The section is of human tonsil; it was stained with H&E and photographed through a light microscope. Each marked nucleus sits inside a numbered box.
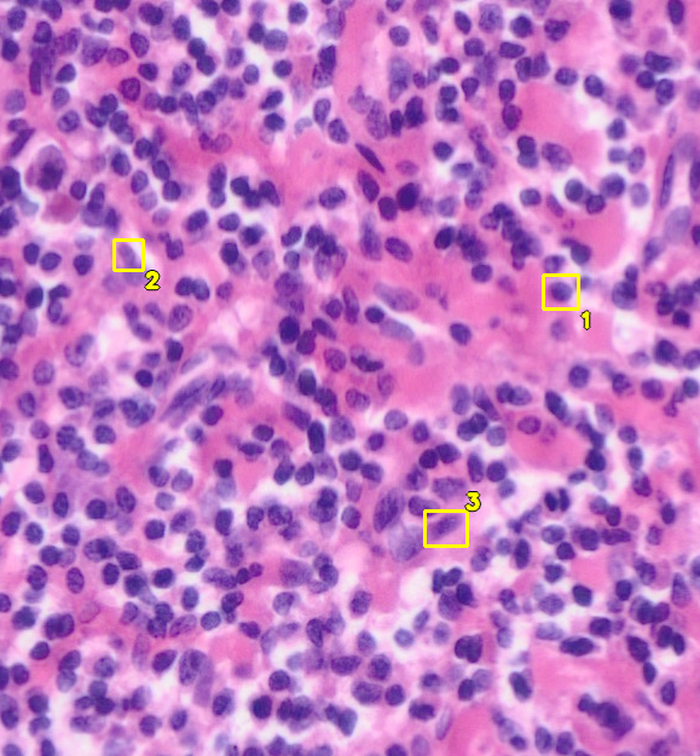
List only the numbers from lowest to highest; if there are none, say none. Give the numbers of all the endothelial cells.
2, 3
